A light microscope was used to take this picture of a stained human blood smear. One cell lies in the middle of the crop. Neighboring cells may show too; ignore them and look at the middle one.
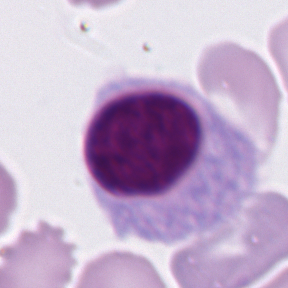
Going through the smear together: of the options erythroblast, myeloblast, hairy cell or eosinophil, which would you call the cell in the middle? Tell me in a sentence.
The single cell at the center of the crop is a hairy cell.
